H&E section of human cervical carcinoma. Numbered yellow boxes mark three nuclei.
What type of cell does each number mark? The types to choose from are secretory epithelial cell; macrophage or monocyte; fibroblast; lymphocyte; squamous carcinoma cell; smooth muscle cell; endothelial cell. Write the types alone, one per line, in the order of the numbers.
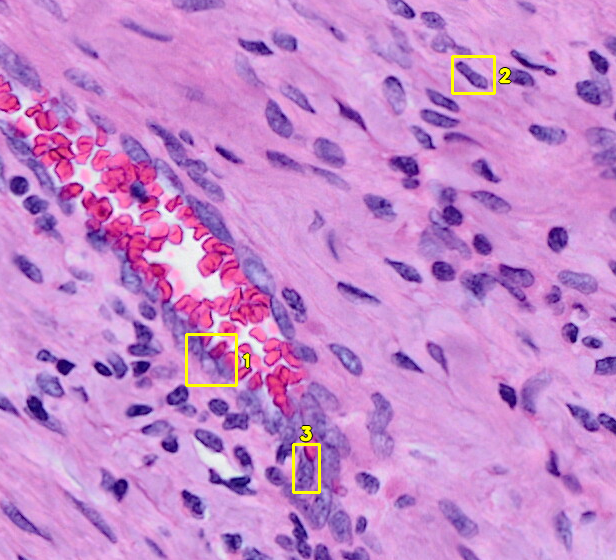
endothelial cell
fibroblast
endothelial cell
